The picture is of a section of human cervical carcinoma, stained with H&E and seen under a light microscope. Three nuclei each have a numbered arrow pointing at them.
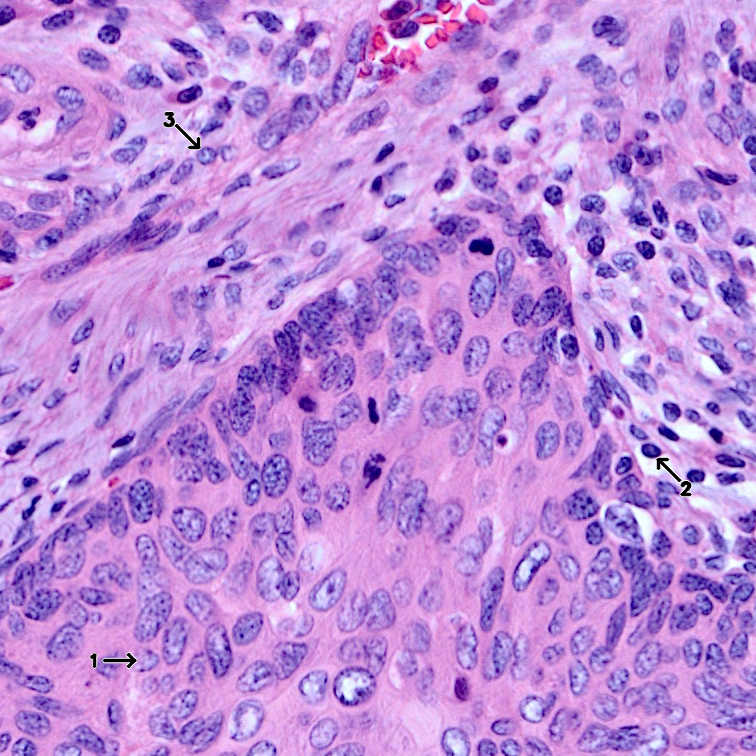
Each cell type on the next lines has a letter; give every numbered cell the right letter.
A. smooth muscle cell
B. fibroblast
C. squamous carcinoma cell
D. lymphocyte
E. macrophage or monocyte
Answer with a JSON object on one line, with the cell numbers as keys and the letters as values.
{"1": "C", "2": "D", "3": "A"}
